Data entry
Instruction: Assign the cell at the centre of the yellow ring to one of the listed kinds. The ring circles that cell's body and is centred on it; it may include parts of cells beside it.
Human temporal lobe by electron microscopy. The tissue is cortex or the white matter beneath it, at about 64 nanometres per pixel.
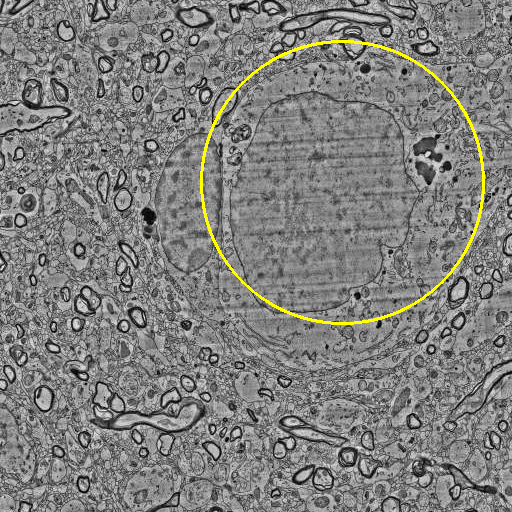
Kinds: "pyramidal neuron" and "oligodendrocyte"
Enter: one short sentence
The centre of the ring falls on a pyramidal neuron.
